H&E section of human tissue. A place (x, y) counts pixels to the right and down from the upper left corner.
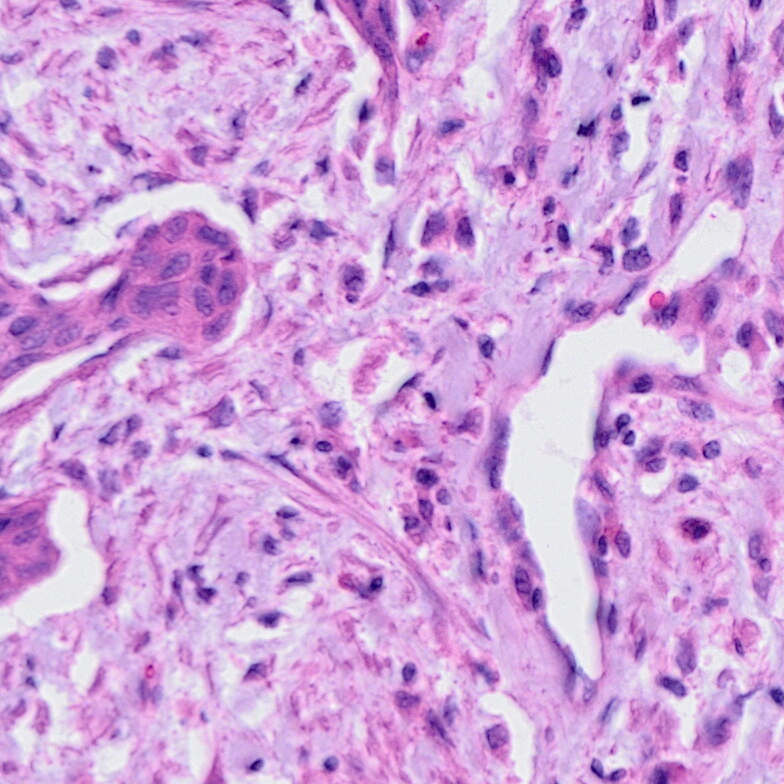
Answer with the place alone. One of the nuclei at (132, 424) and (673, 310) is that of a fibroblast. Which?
(132, 424)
